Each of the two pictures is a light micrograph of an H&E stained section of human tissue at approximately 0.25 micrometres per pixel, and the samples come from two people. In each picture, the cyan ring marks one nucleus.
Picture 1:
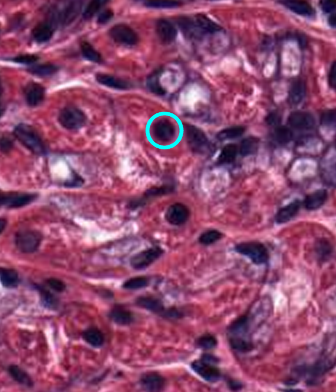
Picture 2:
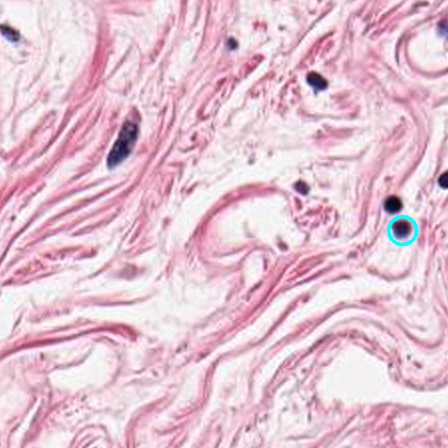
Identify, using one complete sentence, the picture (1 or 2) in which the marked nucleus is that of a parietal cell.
It is picture 1 in which the marked nucleus belongs to a parietal cell.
